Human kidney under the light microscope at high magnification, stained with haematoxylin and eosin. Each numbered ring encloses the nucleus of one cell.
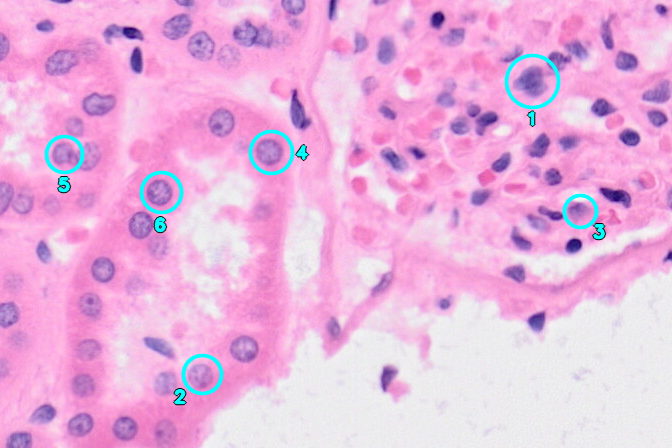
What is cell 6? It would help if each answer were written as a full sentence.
Identified as a proximal tubule cell is the cell bearing the number 6.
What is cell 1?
Numbered cell 1 is an endothelial cell in this tissue section.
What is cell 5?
Cell 5 is classified as a proximal tubule cell.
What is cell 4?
Among the marked nuclei, number 4 belongs to a proximal tubule cell.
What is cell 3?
Classified as an endothelial cell is the cell with the number 3.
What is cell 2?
That cell with number 2 is a proximal tubule cell.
